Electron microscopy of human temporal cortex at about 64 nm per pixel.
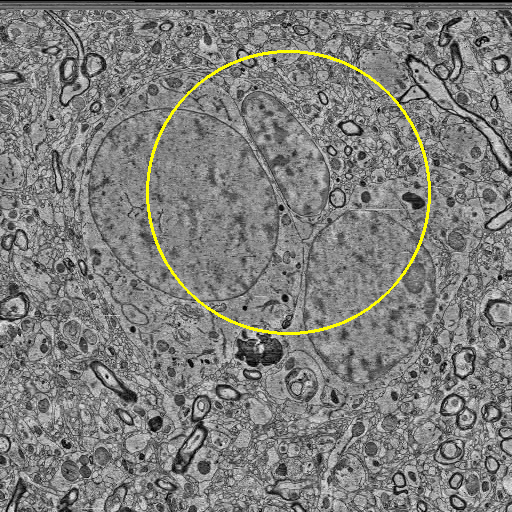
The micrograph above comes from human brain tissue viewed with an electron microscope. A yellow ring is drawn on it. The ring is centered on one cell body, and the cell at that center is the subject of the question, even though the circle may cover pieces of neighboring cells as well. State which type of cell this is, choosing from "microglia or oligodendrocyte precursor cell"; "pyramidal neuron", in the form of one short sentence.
The cell the ring is centered on is a microglial cell or oligodendrocyte precursor cell.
